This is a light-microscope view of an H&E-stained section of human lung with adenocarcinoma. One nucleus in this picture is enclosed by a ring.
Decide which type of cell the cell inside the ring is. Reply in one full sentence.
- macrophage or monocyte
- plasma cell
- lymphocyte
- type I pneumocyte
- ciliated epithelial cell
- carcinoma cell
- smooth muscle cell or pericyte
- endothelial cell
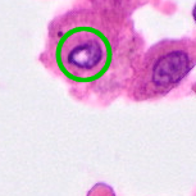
Within the stained tissue, the cell inside the ring is a macrophage or monocyte.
